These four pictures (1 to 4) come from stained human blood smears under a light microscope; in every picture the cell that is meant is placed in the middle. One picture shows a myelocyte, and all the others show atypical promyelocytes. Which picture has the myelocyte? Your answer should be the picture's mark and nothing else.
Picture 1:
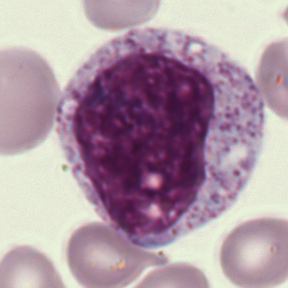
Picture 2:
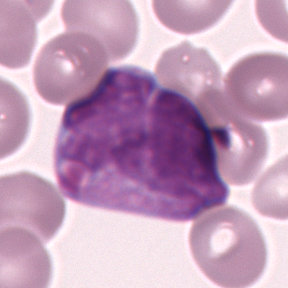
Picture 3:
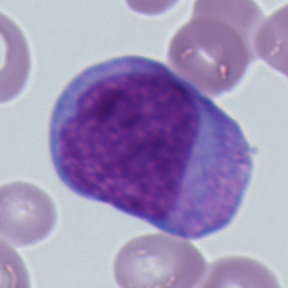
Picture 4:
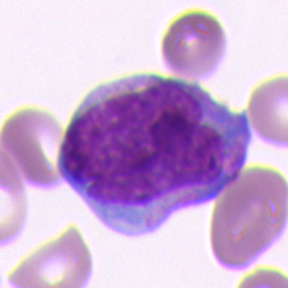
1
